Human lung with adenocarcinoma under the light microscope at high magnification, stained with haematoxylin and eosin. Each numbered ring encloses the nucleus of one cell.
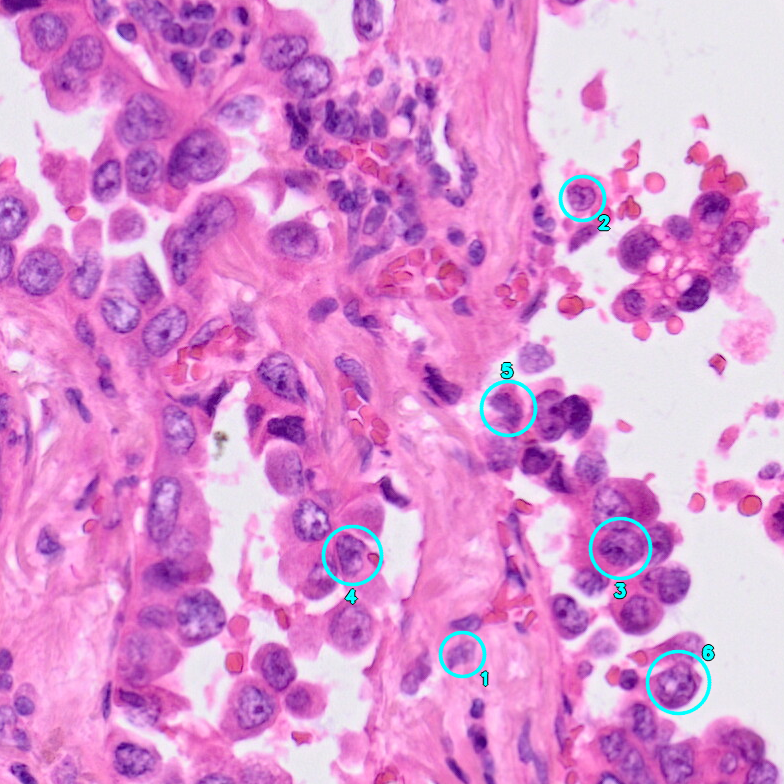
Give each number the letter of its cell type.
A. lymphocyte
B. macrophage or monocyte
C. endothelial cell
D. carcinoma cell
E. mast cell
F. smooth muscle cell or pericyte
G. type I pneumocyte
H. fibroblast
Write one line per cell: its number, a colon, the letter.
1: H
2: B
3: D
4: D
5: D
6: D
